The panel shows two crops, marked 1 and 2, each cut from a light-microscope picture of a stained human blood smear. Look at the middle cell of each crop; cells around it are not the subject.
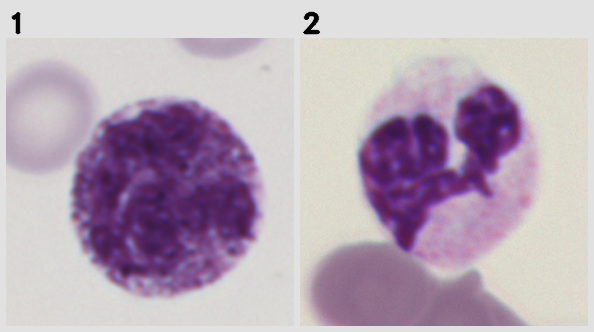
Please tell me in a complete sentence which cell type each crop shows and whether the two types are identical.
No, crop 1 is home to a basophil, and crop 2 to a segmented neutrophil.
